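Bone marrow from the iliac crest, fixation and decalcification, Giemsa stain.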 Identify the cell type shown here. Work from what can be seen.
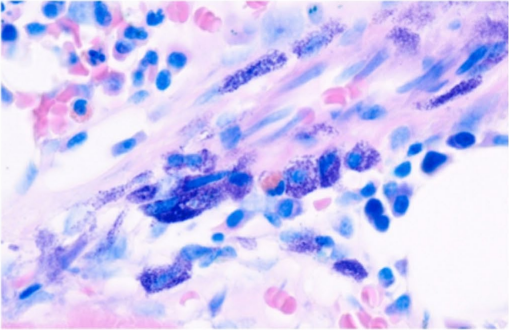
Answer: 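Elongated, spindle-shaped cells run in a streaming band. Their cytoplasm is packed with coarse purple granules. Nuclei are oval and partly obscured by the granules.
Conclusion: neoplastic mast cells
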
